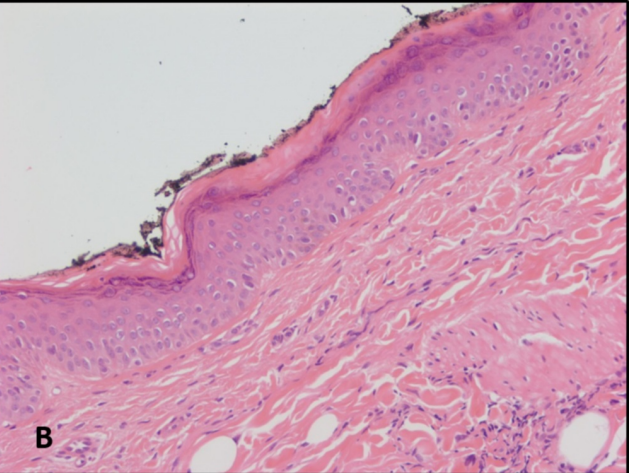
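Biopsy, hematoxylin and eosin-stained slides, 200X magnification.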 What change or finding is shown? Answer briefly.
Lack of epidermotropism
